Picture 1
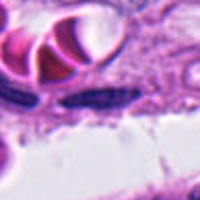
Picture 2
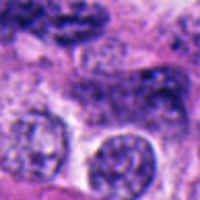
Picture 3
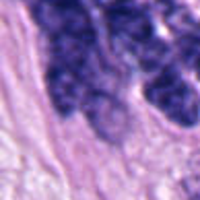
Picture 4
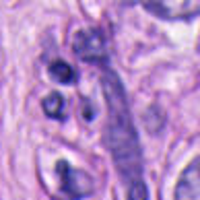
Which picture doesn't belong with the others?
Picture 4.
